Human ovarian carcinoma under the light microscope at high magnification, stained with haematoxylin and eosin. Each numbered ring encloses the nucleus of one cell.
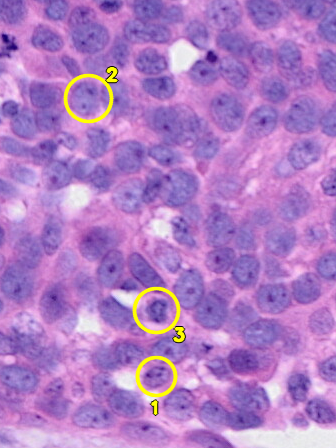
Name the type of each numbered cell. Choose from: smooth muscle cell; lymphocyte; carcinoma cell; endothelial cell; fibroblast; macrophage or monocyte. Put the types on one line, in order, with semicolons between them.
macrophage or monocyte; carcinoma cell; macrophage or monocyte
